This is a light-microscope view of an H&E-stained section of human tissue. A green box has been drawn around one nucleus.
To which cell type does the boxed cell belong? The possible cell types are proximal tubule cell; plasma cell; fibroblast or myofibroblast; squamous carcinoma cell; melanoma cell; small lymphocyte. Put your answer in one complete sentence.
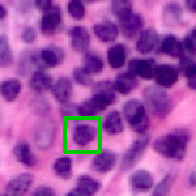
As for its identity, the boxed cell is a small lymphocyte.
